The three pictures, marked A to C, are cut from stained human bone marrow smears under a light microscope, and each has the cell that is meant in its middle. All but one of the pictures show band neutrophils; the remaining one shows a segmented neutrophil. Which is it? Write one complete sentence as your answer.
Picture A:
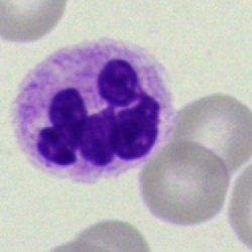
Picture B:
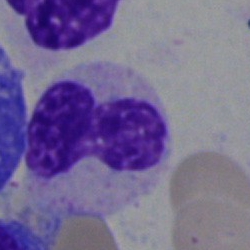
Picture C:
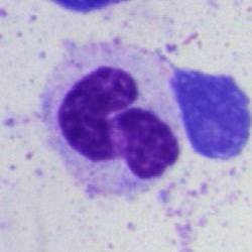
The segmented neutrophil is the one in picture A.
